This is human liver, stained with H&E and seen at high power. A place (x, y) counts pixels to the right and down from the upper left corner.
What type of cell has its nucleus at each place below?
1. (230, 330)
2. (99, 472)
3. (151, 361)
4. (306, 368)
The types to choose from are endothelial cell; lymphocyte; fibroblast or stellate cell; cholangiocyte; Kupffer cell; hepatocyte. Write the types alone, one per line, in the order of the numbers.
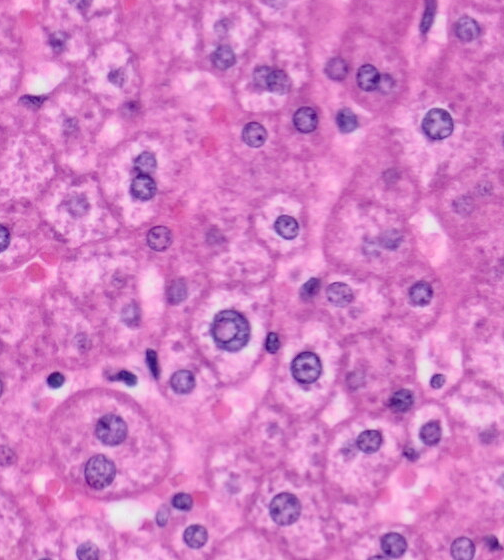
hepatocyte
hepatocyte
fibroblast or stellate cell
hepatocyte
